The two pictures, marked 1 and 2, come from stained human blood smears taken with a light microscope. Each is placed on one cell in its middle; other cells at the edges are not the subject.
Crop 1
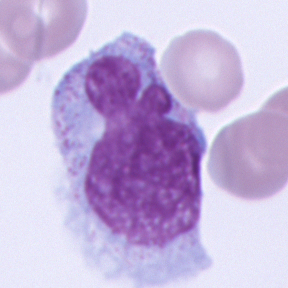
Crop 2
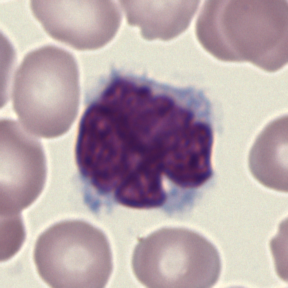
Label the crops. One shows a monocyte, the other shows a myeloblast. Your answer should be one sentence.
Here crop 1 is a myeloblast, and crop 2 is a monocyte.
